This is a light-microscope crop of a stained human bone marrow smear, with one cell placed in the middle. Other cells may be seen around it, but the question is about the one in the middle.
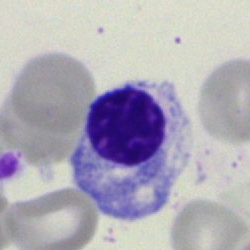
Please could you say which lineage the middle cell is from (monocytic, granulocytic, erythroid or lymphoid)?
erythroid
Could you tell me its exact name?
erythroblast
